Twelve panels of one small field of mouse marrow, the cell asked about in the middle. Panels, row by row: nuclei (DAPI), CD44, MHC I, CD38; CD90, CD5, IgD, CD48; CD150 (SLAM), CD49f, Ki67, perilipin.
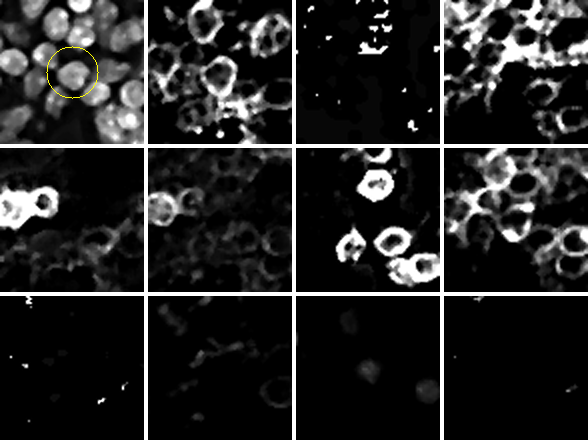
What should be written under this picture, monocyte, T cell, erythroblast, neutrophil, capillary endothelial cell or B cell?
monocyte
